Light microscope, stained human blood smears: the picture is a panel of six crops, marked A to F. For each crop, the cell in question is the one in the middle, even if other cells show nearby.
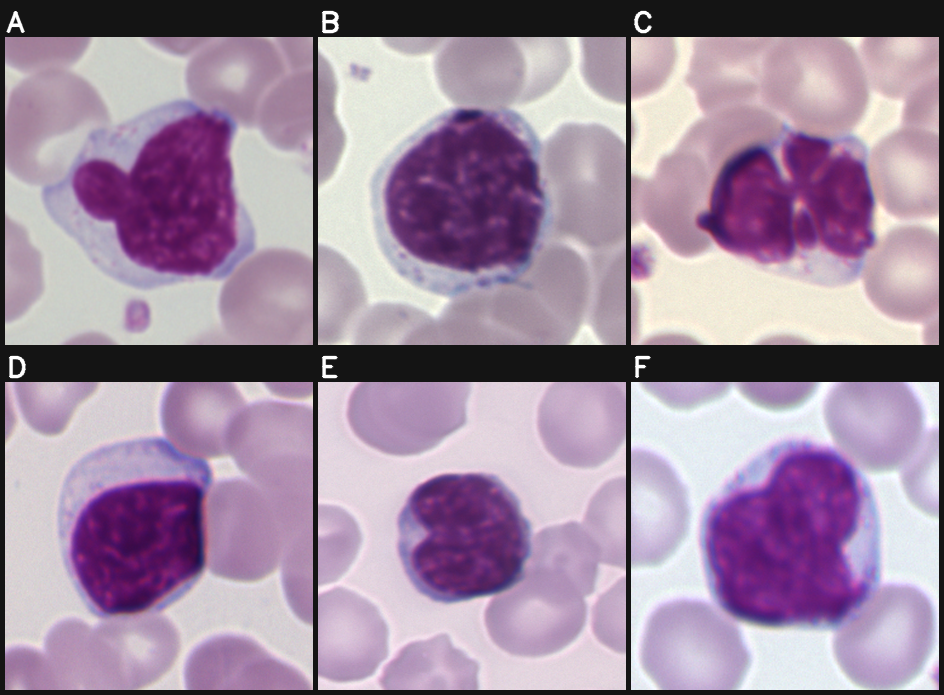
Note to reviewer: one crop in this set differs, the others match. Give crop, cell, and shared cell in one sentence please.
Crop E is different, showing a typical lymphocyte, whereas all the others show large granular lymphocytes.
